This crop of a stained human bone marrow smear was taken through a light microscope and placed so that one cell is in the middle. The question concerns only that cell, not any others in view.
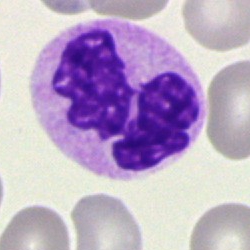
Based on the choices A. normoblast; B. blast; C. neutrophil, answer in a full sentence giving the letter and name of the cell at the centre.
Option C is the right one, for the cell in the middle is a neutrophil.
